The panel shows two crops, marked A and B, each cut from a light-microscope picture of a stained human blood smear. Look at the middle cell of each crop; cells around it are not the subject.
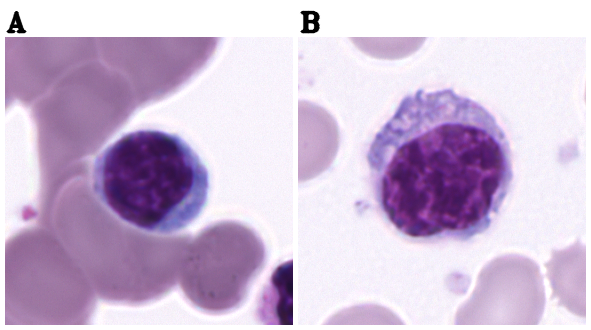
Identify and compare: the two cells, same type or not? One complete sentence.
Yes, these two crops both show plasma cells.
